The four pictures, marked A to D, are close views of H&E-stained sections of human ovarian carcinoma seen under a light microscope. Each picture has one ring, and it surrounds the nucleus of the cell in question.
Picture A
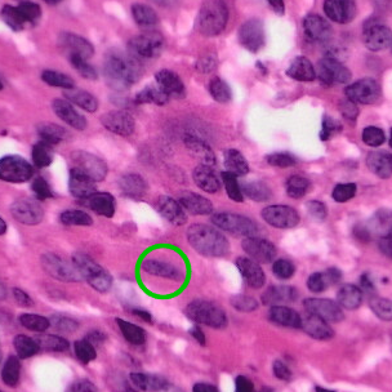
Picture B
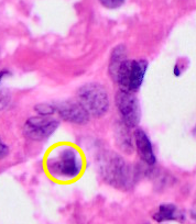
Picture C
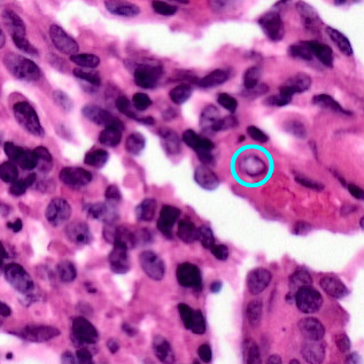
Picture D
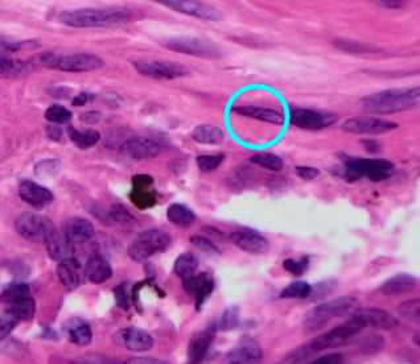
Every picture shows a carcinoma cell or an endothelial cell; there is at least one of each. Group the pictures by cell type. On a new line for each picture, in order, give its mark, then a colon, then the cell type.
A: endothelial cell
B: carcinoma cell
C: endothelial cell
D: endothelial cell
